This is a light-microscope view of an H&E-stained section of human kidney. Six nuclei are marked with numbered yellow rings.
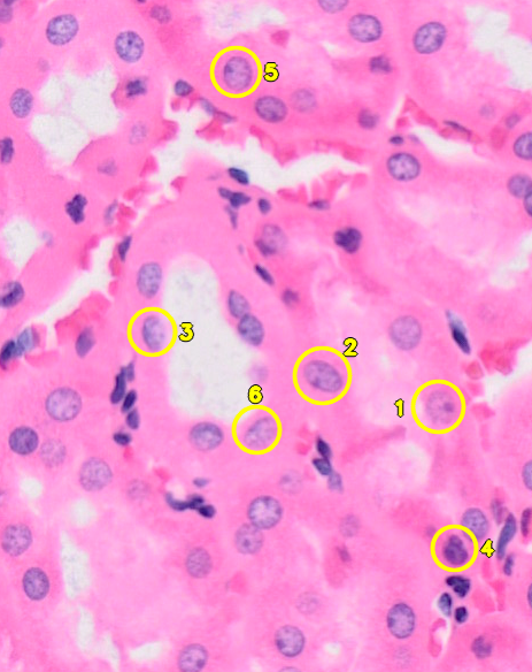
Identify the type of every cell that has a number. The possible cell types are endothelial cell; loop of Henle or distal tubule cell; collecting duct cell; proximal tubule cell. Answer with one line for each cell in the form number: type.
1: proximal tubule cell
2: proximal tubule cell
3: loop of Henle or distal tubule cell
4: proximal tubule cell
5: proximal tubule cell
6: loop of Henle or distal tubule cell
